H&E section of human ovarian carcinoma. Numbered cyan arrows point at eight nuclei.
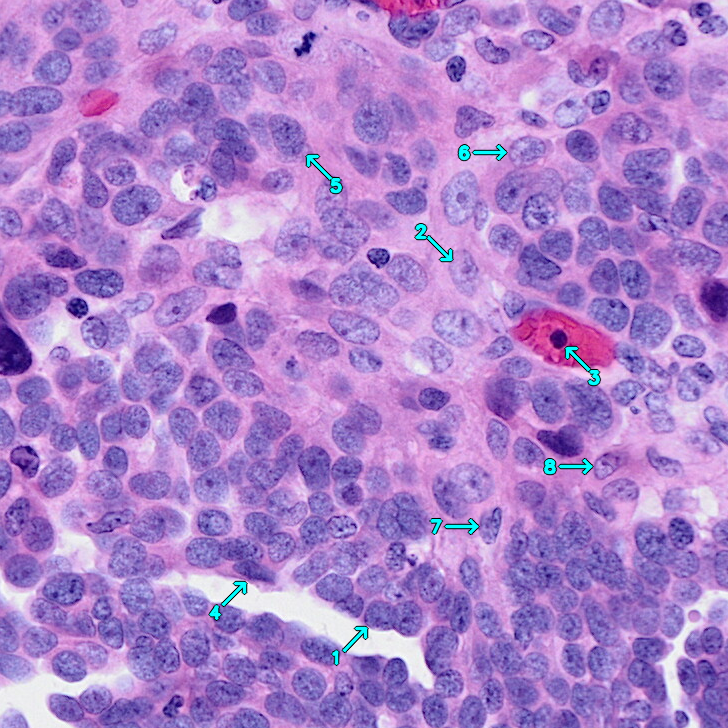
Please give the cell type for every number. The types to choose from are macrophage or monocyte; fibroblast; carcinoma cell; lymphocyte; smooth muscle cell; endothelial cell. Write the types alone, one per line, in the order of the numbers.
carcinoma cell
fibroblast
lymphocyte
carcinoma cell
carcinoma cell
carcinoma cell
macrophage or monocyte
fibroblast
